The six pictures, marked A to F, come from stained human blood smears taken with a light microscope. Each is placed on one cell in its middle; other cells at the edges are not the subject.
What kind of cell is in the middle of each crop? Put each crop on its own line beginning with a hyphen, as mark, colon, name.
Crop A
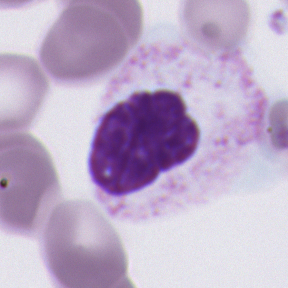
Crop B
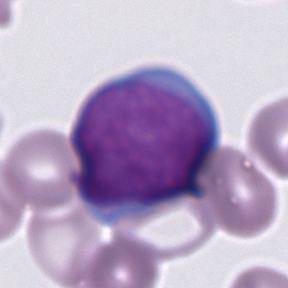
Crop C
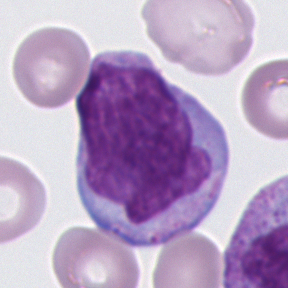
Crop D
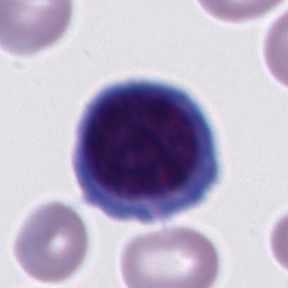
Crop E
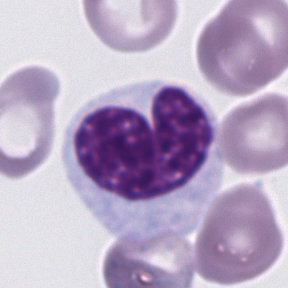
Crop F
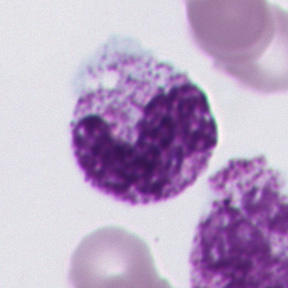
- A: segmented neutrophil
- B: myeloblast
- C: atypical promyelocyte
- D: normoblast
- E: band neutrophil
- F: band neutrophil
